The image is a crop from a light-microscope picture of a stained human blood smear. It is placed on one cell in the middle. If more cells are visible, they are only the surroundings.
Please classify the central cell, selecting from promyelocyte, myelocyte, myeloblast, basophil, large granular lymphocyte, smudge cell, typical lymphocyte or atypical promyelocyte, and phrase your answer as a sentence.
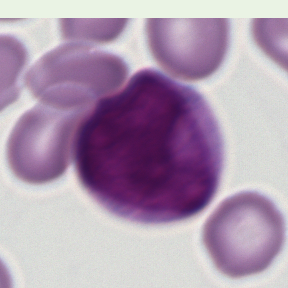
The cell in the middle of this crop is a myeloblast.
